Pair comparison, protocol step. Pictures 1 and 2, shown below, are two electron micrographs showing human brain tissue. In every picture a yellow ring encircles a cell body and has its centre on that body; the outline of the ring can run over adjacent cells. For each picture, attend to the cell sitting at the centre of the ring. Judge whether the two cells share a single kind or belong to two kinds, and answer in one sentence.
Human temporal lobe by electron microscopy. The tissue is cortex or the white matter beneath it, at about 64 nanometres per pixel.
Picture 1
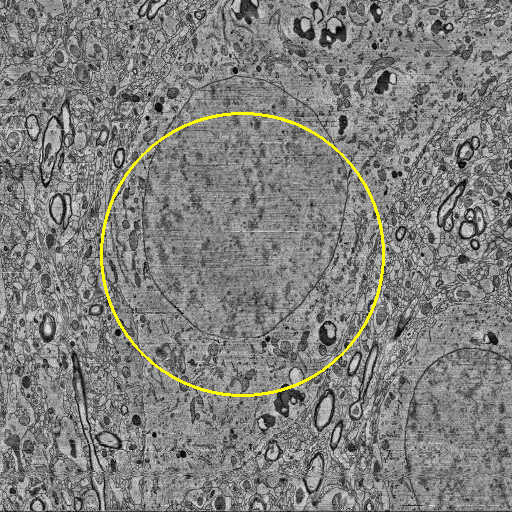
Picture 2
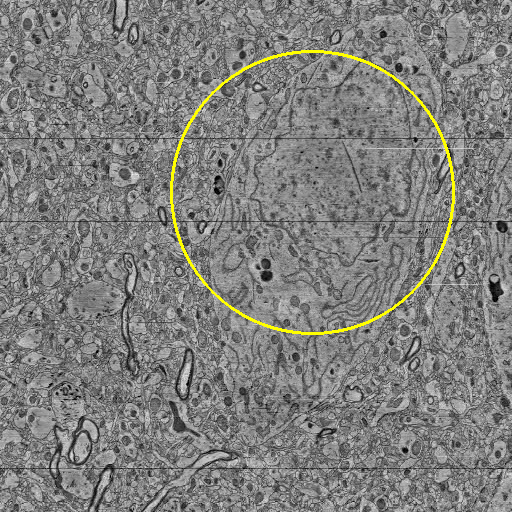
The two cells at the ring centres in Picture 1 and Picture 2 belong to two kinds.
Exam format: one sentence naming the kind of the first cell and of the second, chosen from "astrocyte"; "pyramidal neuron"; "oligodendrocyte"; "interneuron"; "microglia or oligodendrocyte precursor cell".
The first picture's cell is a pyramidal neuron, and the second picture's cell is an interneuron.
